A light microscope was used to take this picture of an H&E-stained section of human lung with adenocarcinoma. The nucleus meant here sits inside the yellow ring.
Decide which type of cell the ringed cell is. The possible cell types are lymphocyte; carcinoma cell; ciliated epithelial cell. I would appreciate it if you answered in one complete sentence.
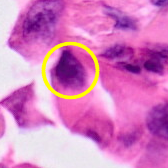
In this section of tissue, the ringed cell is a carcinoma cell.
